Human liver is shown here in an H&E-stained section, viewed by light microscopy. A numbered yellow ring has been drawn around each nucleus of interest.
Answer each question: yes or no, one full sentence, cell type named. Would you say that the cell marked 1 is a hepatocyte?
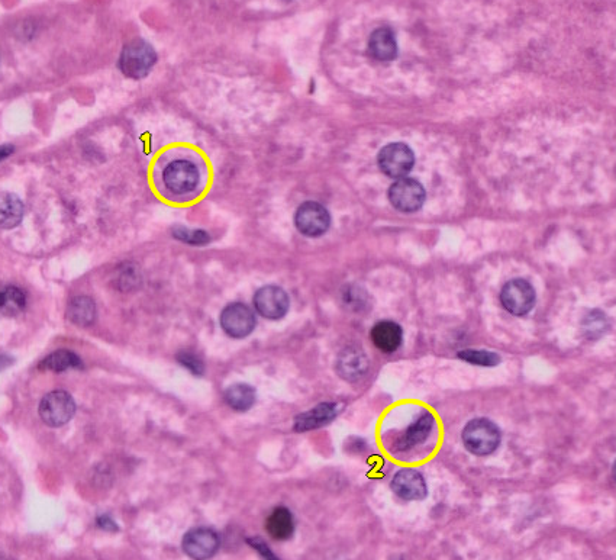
Yes, the cell bearing the number 1 is a hepatocyte.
